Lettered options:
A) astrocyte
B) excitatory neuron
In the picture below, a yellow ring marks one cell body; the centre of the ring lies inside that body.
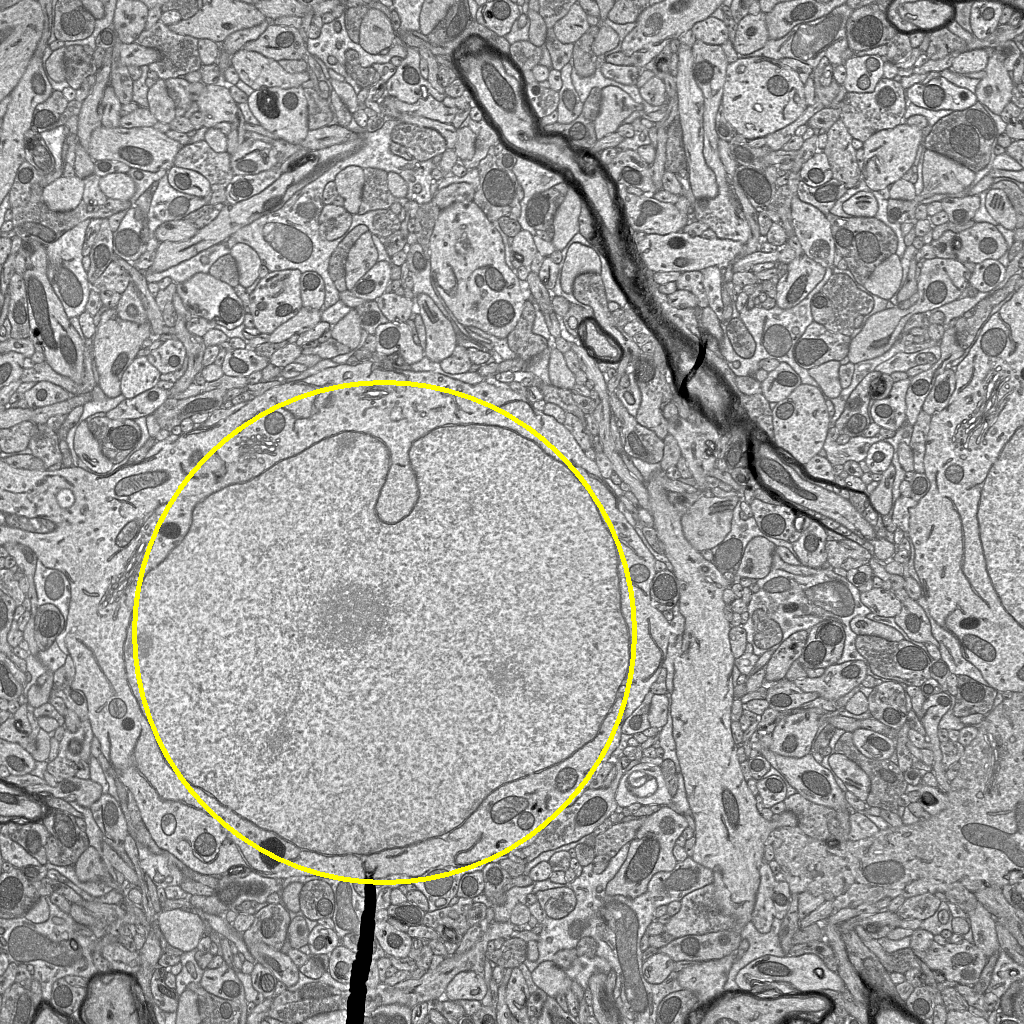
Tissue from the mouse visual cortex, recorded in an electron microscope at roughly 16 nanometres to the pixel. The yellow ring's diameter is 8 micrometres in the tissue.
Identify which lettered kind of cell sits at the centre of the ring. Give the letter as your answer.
B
